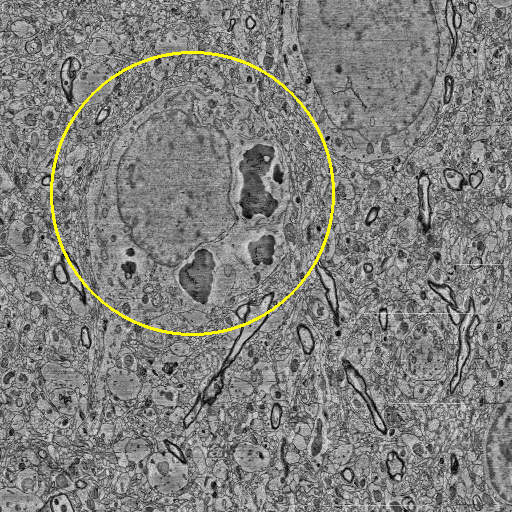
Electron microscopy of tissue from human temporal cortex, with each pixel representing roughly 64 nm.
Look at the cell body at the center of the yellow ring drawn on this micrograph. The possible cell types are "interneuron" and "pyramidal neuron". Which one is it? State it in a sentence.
The cell in the middle of the ring is an interneuron.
